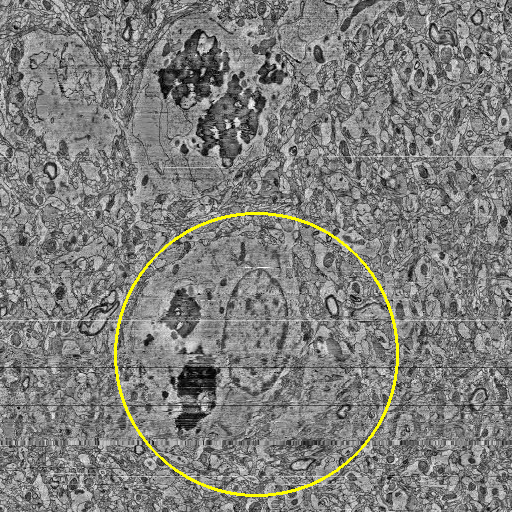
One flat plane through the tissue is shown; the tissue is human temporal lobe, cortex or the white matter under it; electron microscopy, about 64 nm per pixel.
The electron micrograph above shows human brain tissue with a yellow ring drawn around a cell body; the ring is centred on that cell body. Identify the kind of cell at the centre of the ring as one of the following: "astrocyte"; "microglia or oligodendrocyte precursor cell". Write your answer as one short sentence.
The cell at the centre of the ring is an astrocyte.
